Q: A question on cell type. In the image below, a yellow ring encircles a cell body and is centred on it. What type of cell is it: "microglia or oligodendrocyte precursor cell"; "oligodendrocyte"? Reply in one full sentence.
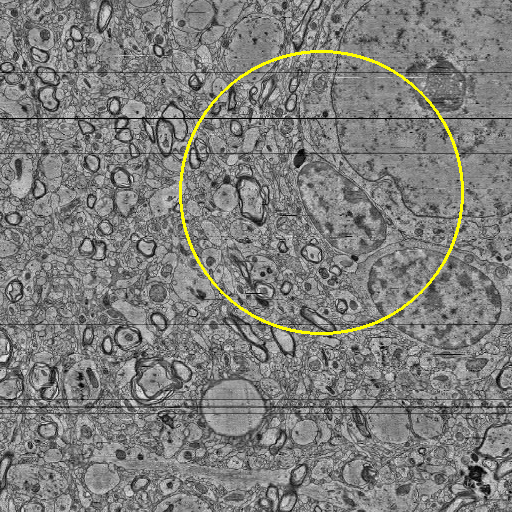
It is a microglial cell or oligodendrocyte precursor cell whose cell body sits at the centre of the yellow ring in the image.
